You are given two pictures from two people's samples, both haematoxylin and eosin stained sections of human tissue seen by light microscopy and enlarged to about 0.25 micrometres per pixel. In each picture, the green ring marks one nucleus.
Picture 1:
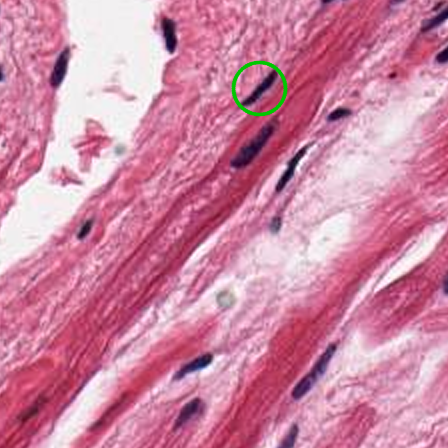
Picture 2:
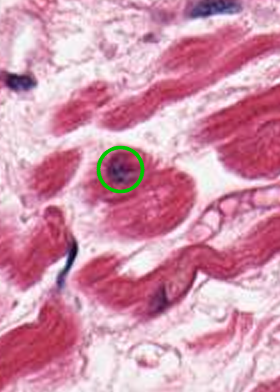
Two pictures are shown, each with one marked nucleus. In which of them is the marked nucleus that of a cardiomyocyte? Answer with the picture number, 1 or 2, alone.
2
